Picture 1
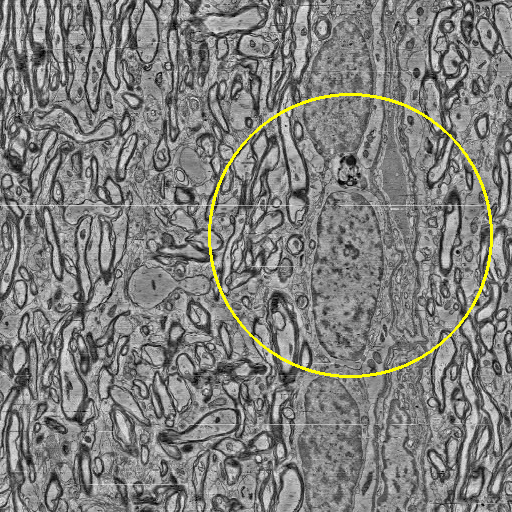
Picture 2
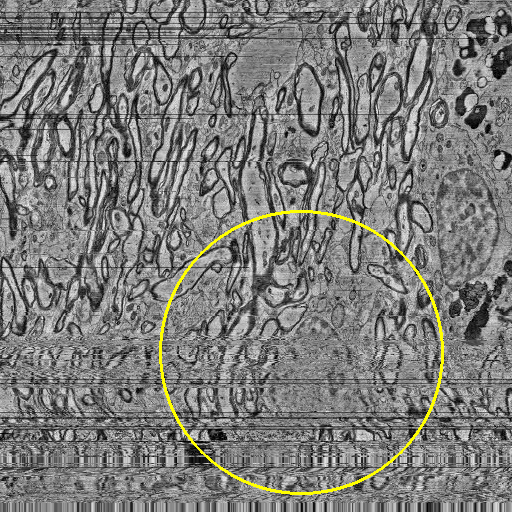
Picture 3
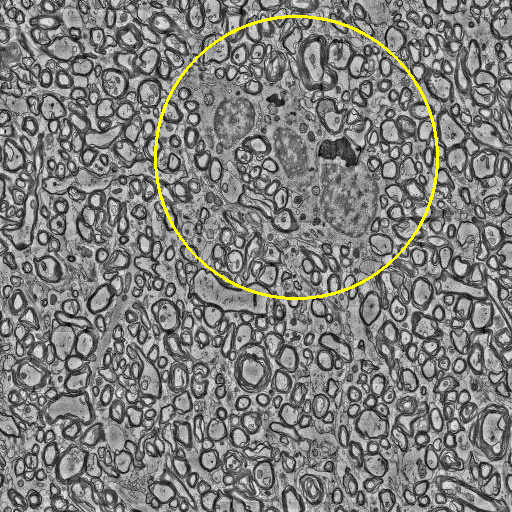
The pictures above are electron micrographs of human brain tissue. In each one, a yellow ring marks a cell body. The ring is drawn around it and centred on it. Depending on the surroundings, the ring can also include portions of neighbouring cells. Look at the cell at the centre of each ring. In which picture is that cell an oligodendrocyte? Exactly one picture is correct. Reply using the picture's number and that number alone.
3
